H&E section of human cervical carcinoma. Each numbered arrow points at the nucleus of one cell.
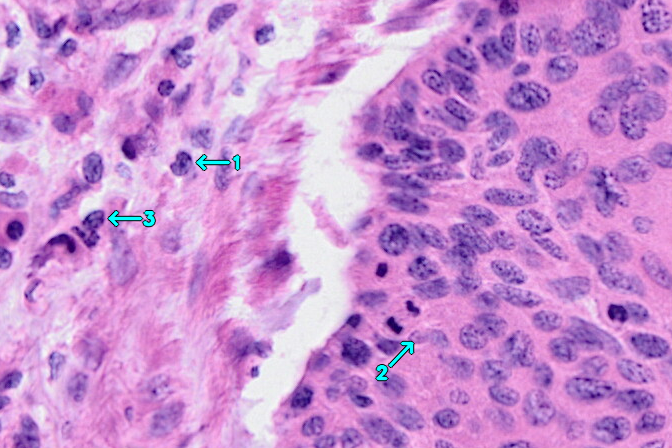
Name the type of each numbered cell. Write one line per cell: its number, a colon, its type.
1: lymphocyte
2: squamous carcinoma cell
3: lymphocyte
